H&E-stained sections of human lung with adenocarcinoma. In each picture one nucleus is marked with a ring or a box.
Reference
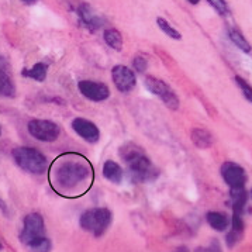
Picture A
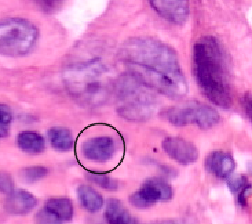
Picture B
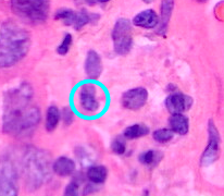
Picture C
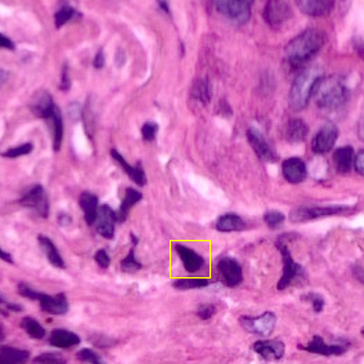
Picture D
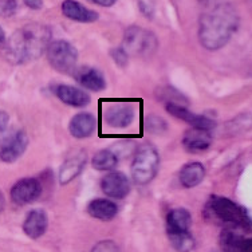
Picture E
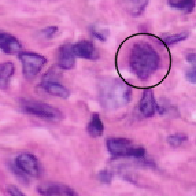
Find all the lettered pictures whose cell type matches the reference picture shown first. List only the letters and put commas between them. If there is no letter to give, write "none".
C, E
